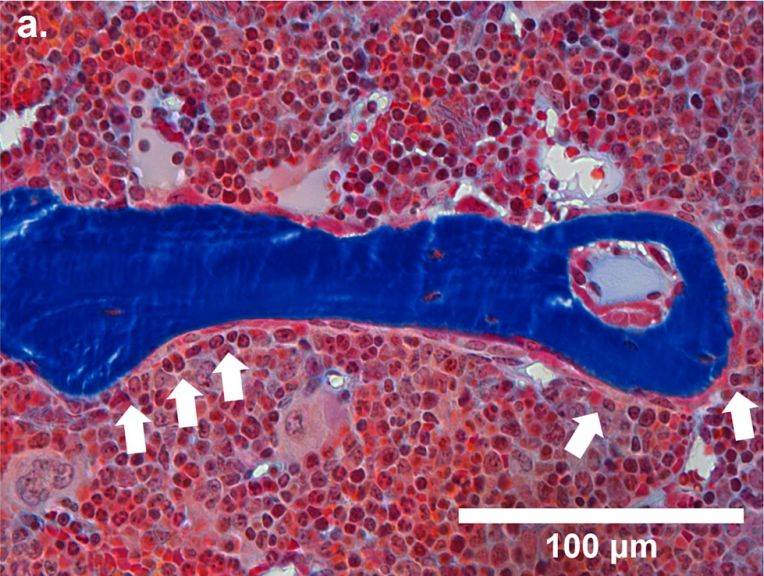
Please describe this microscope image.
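A trabecula of bone, stained deep blue, runs across the field through densely cellular marrow, with a few small dark nuclei sitting in lacunae within the blue matrix and a rounded vascular channel near its right end. Along its lower surface a thin red seam of osteoid lies against the blue bone, lined by a row of small cells pressed onto the surface. The surrounding marrow is packed with small round red-staining cells with dark nuclei, interspersed with a few much larger cells with lobed nuclei and scattered clear vessel spaces.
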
